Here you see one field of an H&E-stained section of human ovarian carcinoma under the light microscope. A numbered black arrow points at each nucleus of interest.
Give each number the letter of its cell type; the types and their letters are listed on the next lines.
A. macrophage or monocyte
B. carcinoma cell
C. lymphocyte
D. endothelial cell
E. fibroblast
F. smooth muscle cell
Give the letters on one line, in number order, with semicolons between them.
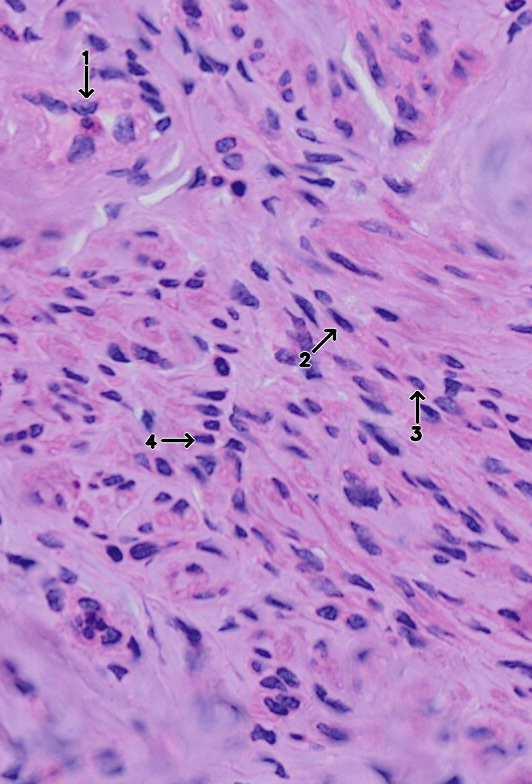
D; F; F; F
